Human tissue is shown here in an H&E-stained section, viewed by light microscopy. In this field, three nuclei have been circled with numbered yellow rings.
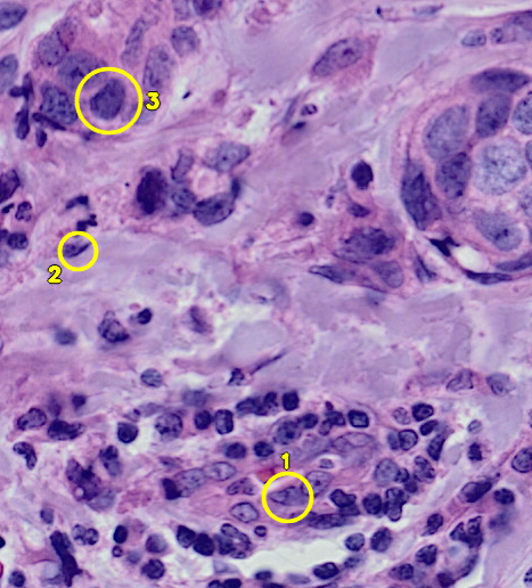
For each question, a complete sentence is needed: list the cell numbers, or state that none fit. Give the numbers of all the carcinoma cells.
Among the labelled cells, only the cell labelled 3 is a carcinoma cell.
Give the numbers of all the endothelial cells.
Of all the cells bearing numbers, cell 1 is the only one that is an endothelial cell.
